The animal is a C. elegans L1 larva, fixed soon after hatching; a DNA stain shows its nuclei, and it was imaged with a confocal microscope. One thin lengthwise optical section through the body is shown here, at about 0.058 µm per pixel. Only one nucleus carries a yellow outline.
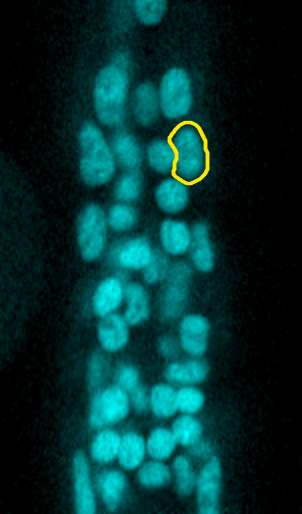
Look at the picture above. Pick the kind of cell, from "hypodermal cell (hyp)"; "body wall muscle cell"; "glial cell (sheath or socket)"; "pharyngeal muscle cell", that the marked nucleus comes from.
body wall muscle cell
